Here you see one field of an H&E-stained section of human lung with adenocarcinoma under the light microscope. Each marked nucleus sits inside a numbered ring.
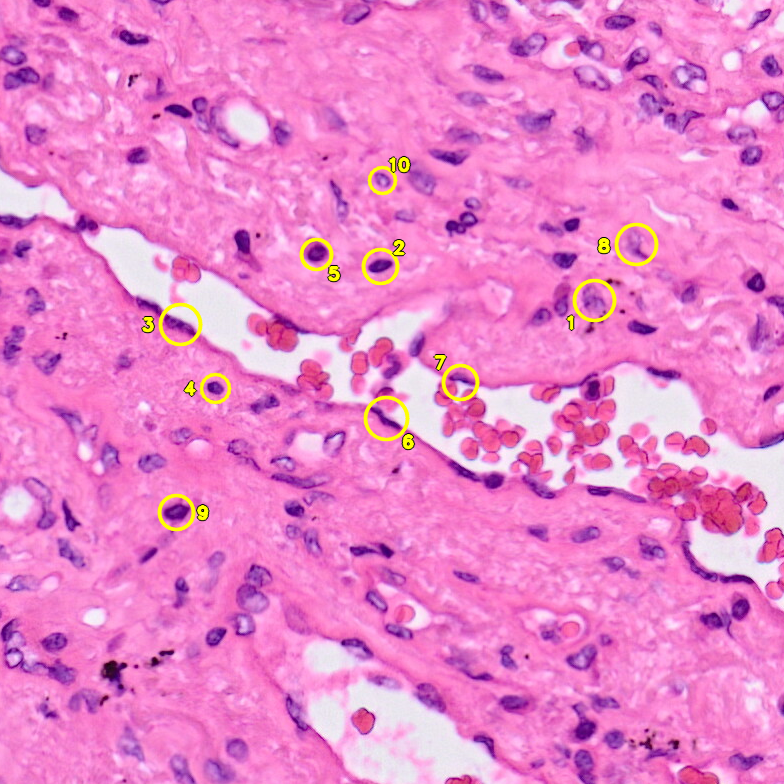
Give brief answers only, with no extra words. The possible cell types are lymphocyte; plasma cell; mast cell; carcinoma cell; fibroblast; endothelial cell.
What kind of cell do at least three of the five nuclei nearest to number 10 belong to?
fibroblast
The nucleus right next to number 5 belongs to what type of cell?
fibroblast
